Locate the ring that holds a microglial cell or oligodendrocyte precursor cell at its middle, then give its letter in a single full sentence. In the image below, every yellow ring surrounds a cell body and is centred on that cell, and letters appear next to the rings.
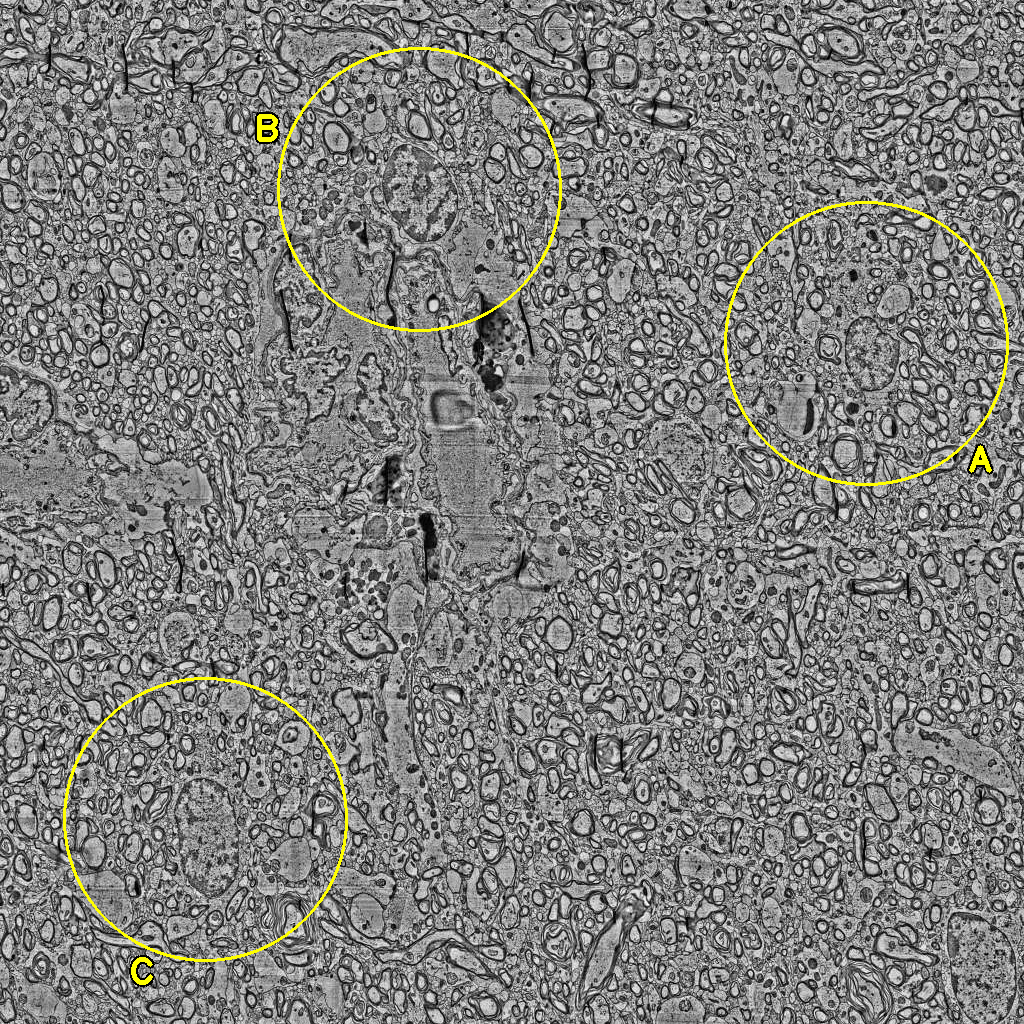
Ring B is the one centred on that kind of cell in the image.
